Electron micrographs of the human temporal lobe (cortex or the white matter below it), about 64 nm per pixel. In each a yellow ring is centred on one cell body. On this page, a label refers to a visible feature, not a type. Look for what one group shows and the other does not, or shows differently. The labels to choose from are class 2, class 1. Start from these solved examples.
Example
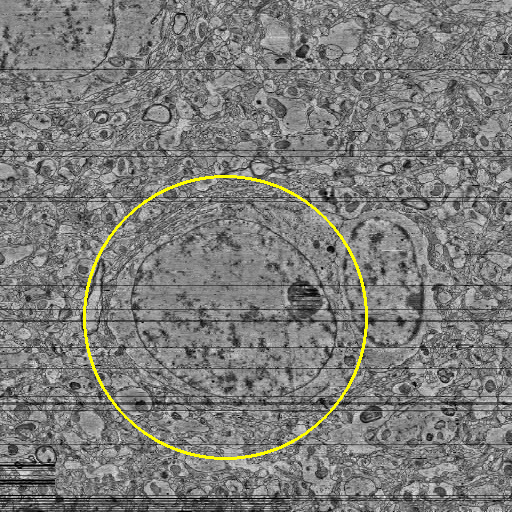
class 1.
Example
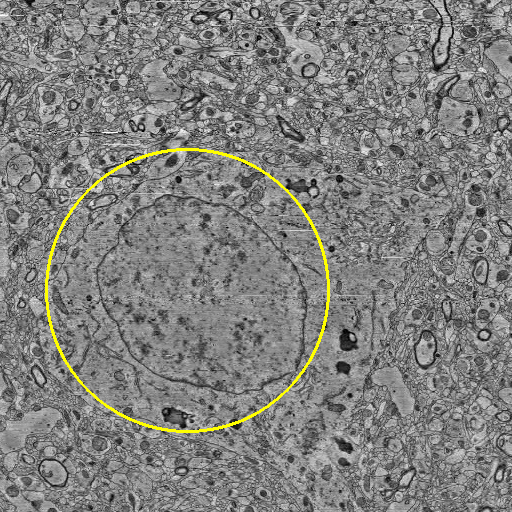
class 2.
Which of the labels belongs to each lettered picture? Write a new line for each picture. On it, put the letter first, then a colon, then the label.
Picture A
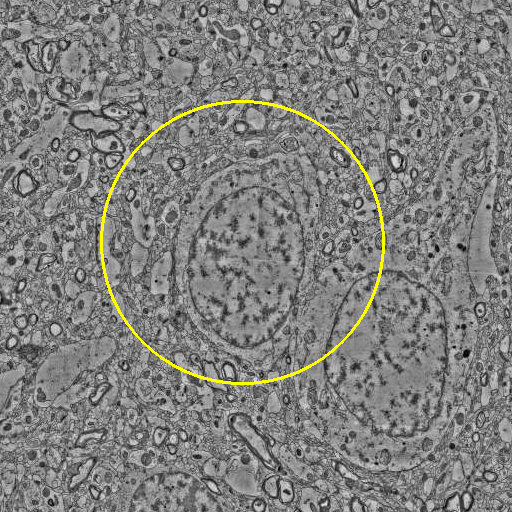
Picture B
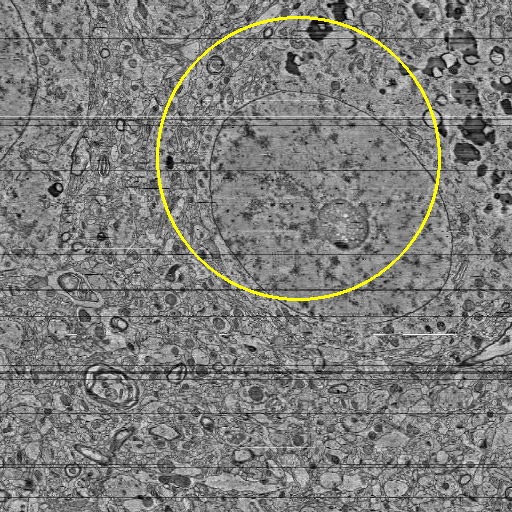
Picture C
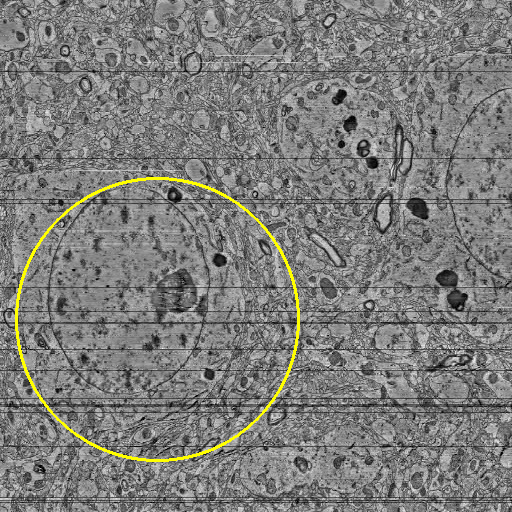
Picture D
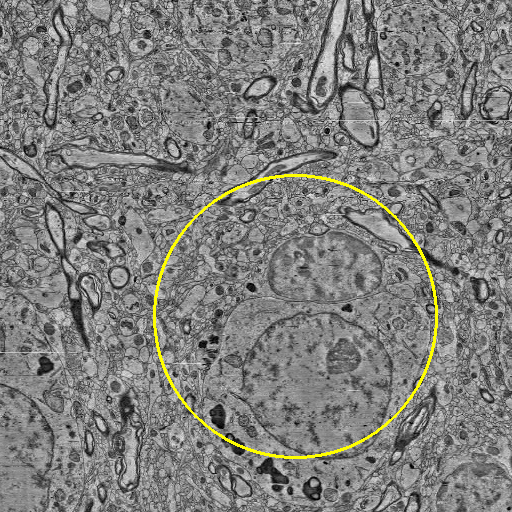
A: class 2.
B: class 1.
C: class 1.
D: class 1.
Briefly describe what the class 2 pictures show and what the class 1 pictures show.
class 2: no nucleolus seen; class 1: nucleolus seen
